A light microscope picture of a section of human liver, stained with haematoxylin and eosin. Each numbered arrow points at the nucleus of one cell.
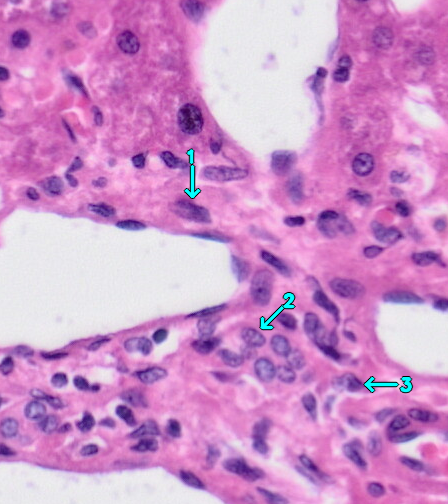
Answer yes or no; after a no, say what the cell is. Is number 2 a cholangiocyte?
Yes.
